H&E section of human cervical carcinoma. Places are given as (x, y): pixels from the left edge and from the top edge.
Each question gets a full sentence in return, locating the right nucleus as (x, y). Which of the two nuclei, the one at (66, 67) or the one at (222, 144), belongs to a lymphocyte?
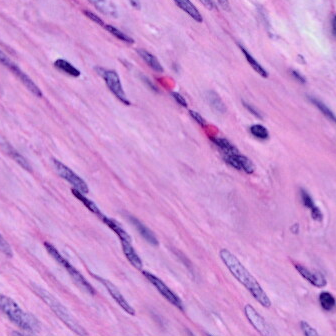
The nucleus belonging to a lymphocyte is the one at (66, 67).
